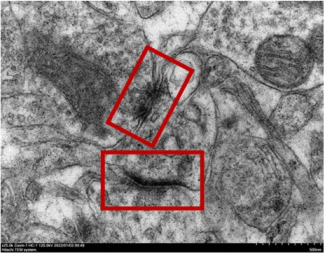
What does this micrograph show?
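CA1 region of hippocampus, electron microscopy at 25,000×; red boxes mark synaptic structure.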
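The field is filled with closely packed membrane-bound profiles of neurites. At left lies a large elongated mitochondrion with visible cristae, and another mitochondrion sits at the right edge. The surrounding cytoplasm is finely granular, and some profiles appear pale.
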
